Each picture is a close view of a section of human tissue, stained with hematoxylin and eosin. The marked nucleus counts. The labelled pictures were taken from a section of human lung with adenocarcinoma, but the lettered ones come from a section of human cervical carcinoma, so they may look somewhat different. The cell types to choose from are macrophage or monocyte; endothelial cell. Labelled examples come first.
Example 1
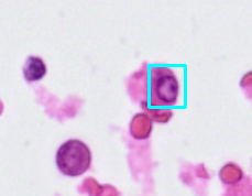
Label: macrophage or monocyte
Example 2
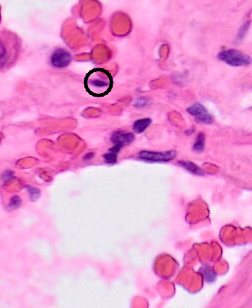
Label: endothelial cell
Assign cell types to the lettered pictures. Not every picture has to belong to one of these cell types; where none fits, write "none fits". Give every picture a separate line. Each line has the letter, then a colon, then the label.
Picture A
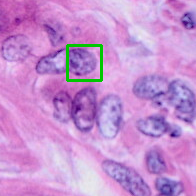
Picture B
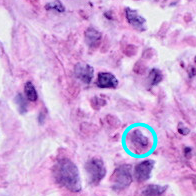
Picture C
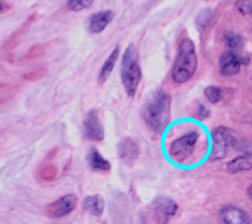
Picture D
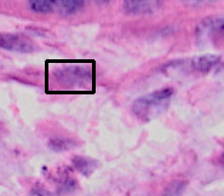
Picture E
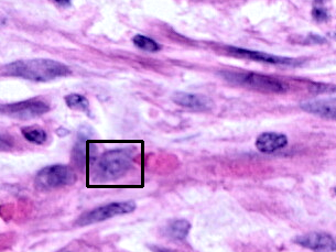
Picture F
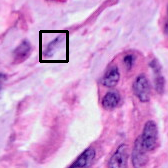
A: endothelial cell
B: none fits
C: macrophage or monocyte
D: none fits
E: endothelial cell
F: none fits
